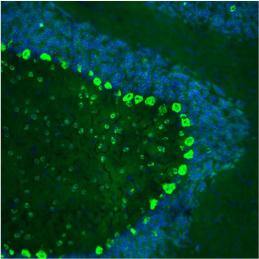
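Cerebellar cortex is shown, its dense blue band of small nuclei curving around a darker, cell-poor molecular layer. Large Purkinje cell bodies stain intensely green and lie in a single row at the border between the two, while smaller green cells are dotted through the molecular layer.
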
